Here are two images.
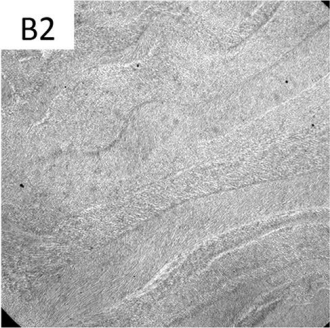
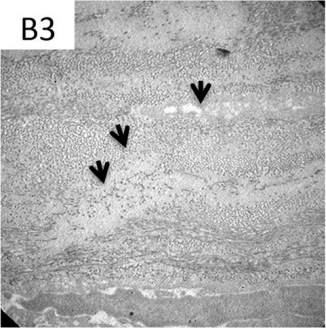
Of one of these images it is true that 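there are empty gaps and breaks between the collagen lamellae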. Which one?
the second image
